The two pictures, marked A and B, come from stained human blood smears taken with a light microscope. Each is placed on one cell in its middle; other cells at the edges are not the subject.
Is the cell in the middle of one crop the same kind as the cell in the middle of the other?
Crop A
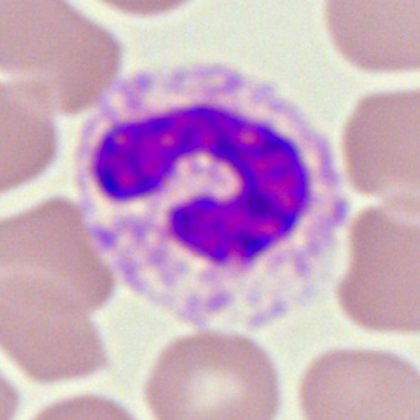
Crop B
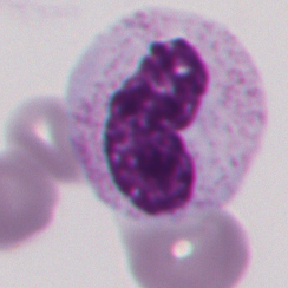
yes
